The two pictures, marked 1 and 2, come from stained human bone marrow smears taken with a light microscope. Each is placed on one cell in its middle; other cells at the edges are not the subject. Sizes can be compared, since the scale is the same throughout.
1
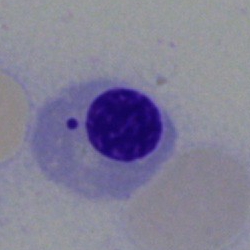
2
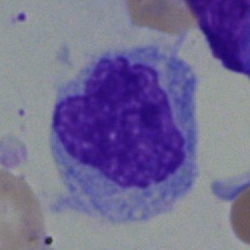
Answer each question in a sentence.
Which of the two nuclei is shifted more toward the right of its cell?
The nucleus in picture 1 lies further toward the right of its cell.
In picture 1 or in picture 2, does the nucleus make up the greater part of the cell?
The nucleus fills more of the cell in picture 2 than in picture 1.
